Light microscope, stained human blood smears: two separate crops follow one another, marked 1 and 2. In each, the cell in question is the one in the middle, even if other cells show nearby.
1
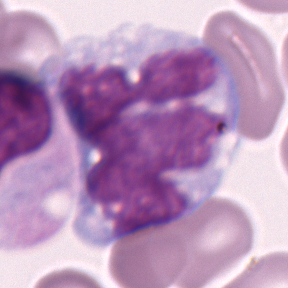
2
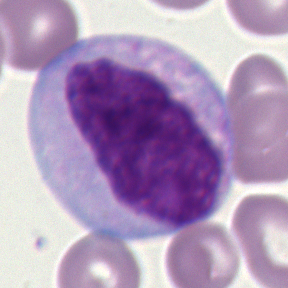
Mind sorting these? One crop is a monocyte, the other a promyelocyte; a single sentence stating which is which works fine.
The designated cell in crop 1 is a monocyte, and the designated cell in crop 2 is a promyelocyte.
